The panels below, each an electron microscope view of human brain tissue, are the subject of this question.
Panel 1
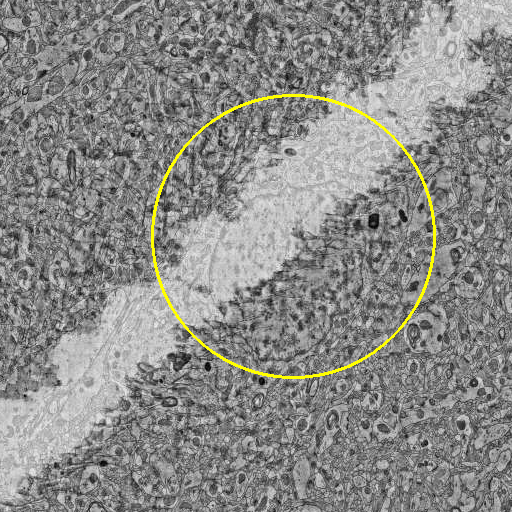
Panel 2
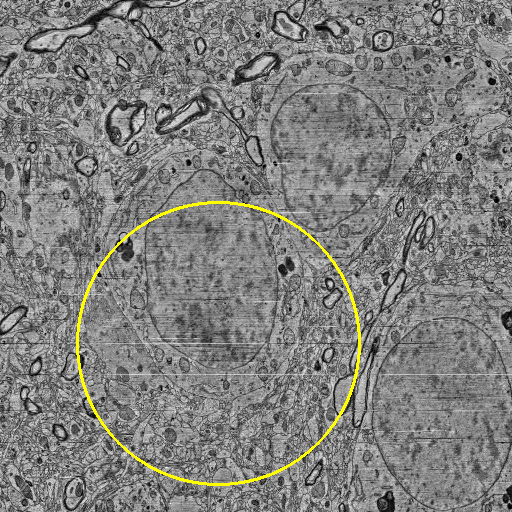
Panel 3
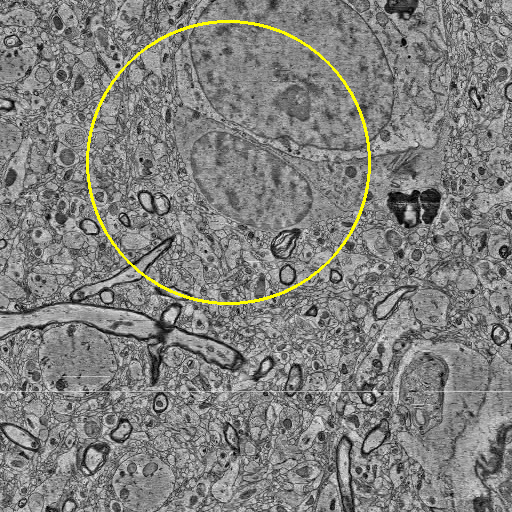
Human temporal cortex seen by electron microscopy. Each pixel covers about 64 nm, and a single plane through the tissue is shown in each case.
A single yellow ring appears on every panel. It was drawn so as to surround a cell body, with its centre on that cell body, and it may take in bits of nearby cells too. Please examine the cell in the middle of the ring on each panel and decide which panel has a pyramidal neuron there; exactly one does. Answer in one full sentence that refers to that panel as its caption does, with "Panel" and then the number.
Panel 2 is where the ring's central cell answers the question.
